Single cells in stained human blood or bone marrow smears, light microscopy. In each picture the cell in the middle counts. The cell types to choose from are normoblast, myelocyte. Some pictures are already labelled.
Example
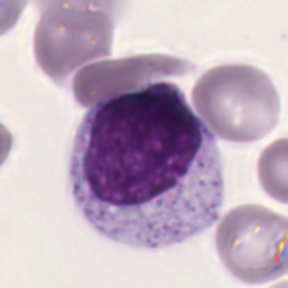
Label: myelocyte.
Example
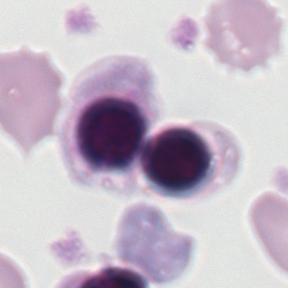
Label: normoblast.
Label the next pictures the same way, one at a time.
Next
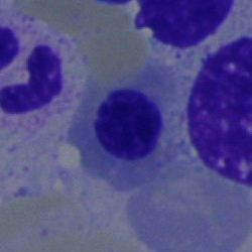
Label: normoblast.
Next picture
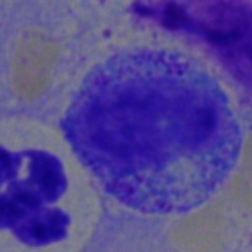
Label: myelocyte.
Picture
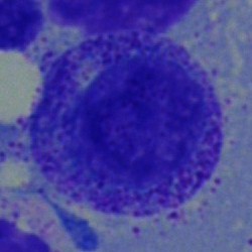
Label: myelocyte.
